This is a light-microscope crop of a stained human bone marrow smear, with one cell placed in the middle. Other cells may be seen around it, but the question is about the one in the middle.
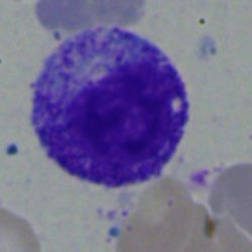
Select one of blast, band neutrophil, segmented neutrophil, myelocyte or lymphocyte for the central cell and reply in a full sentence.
Regarding the central cell, it is a myelocyte.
